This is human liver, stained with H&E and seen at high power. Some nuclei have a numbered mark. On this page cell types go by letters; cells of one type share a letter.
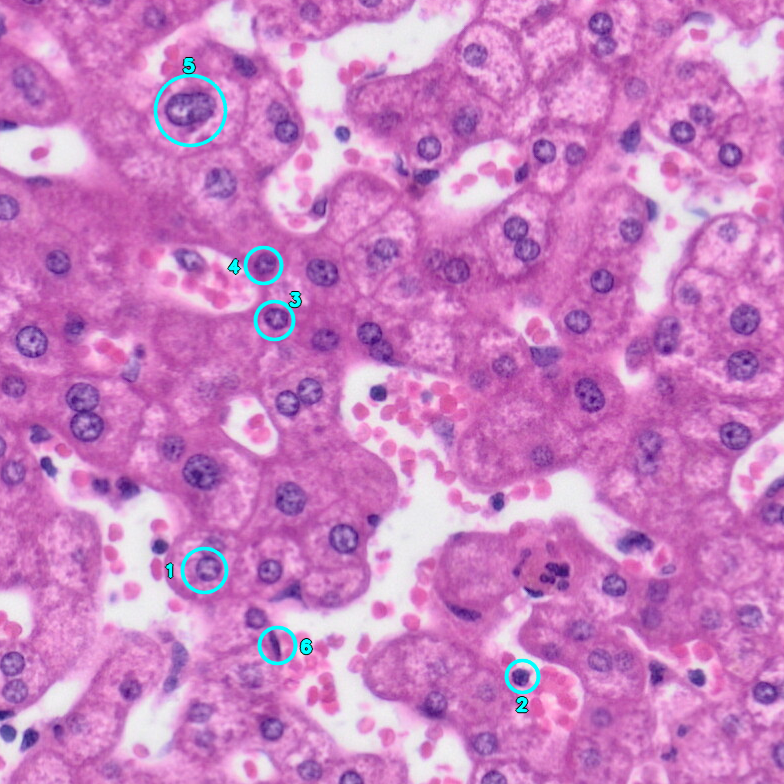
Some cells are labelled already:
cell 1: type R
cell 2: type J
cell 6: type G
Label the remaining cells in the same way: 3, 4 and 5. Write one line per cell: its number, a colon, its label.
3: type R
4: type R
5: type R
